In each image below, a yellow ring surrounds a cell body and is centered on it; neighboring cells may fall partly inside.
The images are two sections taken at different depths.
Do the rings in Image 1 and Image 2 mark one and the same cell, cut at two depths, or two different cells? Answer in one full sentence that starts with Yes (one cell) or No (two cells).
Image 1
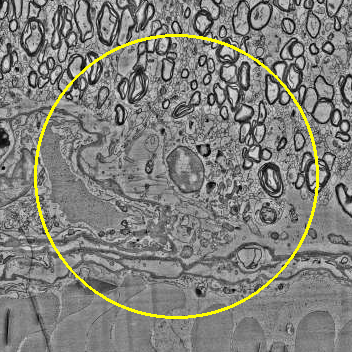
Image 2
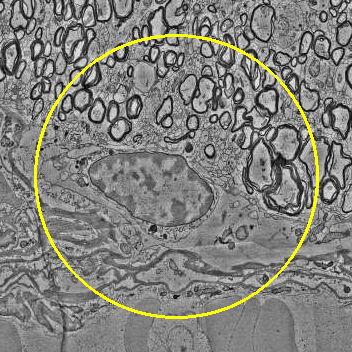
Yes, a single cell is marked twice, once by each yellow ring.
